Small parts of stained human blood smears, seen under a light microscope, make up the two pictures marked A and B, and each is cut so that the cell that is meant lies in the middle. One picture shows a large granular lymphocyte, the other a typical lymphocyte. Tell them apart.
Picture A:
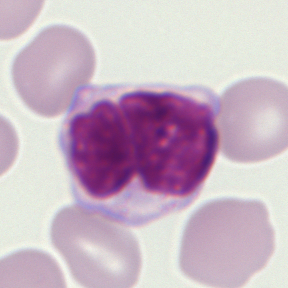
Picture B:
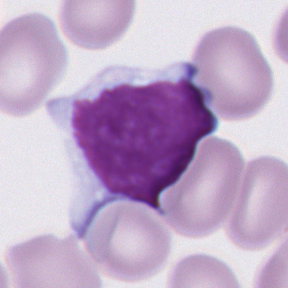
A: large granular lymphocyte
B: typical lymphocyte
